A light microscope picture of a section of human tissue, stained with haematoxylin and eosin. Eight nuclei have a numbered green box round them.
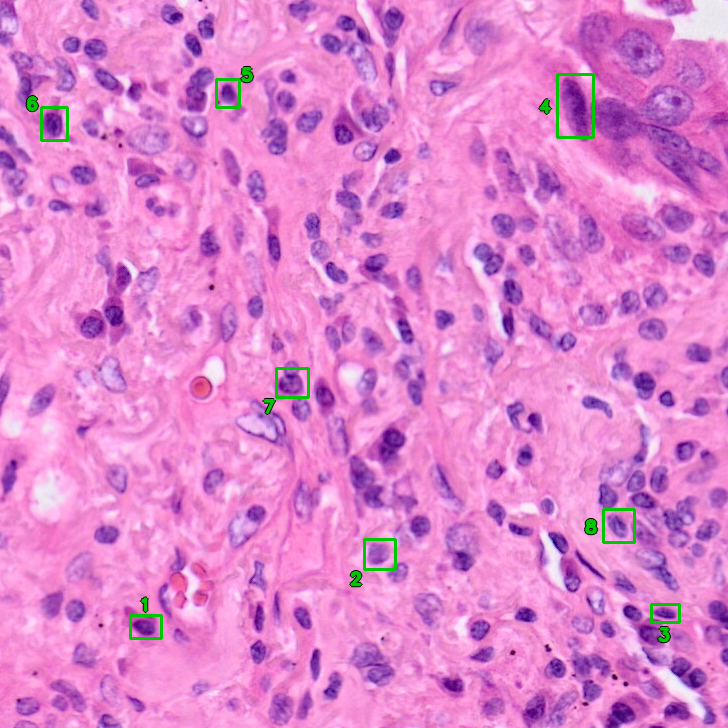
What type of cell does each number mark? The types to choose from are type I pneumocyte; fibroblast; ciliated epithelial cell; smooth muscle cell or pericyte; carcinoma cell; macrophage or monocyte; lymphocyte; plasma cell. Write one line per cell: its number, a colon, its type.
1: plasma cell
2: lymphocyte
3: lymphocyte
4: carcinoma cell
5: plasma cell
6: plasma cell
7: plasma cell
8: lymphocyte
